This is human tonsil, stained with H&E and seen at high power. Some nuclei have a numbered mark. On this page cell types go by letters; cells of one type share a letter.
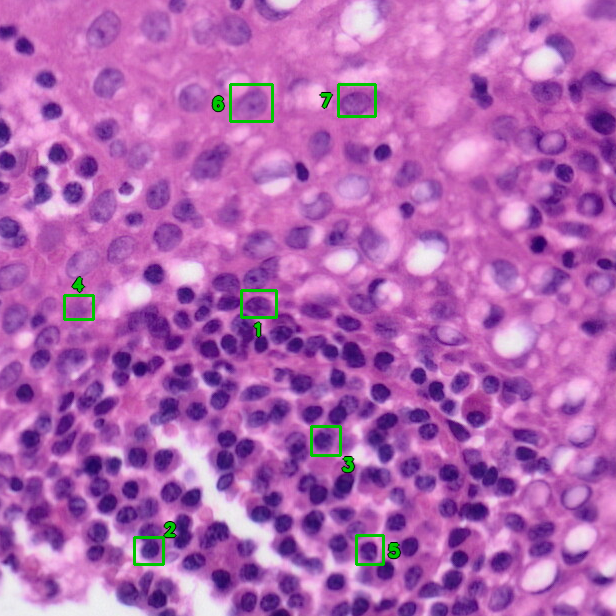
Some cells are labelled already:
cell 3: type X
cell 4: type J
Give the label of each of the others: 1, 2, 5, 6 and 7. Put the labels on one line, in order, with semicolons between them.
type J; type X; type X; type J; type J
